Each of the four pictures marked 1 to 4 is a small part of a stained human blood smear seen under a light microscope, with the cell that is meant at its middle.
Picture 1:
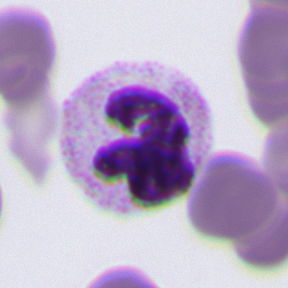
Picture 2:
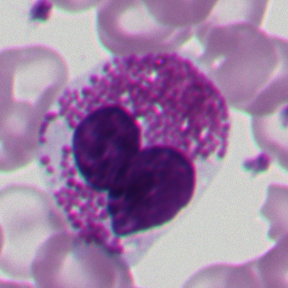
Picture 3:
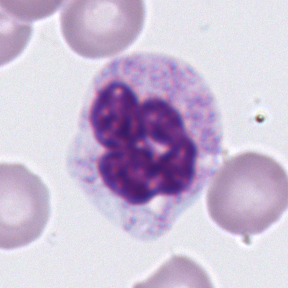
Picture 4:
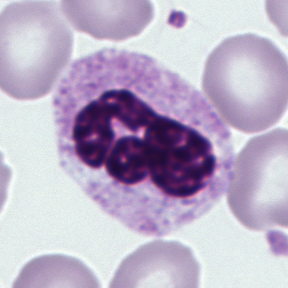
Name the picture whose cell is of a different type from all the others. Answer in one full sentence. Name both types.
The others show segmented neutrophils, but picture 2 shows an eosinophil.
